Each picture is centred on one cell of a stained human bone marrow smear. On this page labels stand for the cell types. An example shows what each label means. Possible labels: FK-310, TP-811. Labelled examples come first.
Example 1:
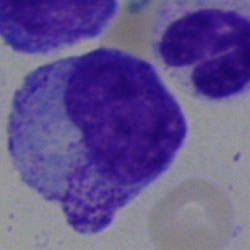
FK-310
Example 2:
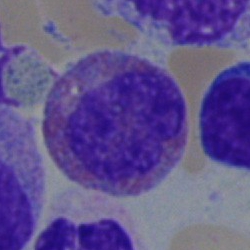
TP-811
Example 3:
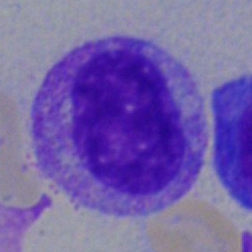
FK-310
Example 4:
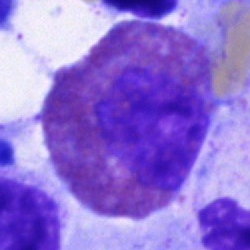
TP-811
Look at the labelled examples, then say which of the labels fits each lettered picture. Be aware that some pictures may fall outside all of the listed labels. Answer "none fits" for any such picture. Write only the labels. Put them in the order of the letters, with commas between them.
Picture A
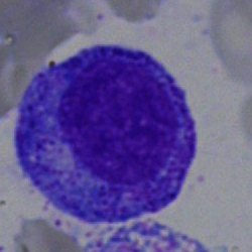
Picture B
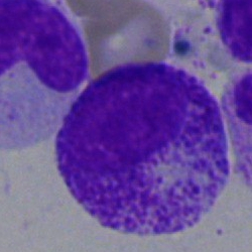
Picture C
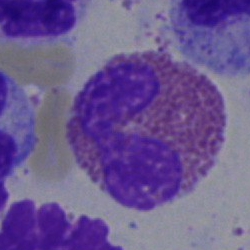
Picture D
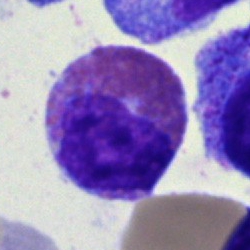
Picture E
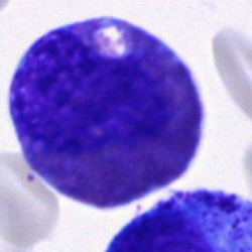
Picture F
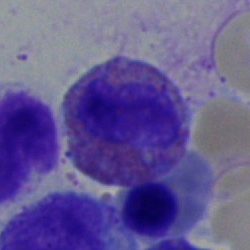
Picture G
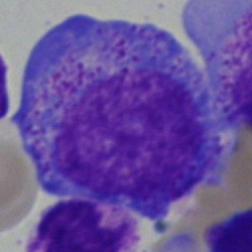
none fits, none fits, TP-811, TP-811, TP-811, TP-811, none fits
